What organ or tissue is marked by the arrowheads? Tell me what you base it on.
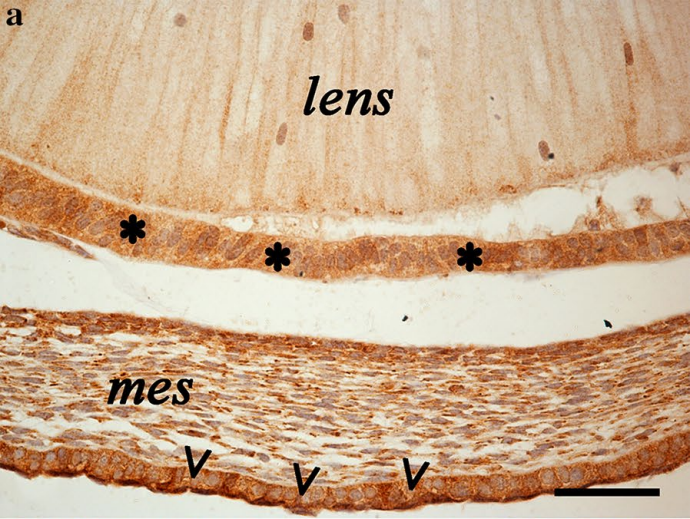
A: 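The arrowheads sit in a thin, compact layer of epithelial cells along the lowest free surface. This layer lies outside a broad layer of elongated, loosely arranged cells.
Surface epithelium of cornea.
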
